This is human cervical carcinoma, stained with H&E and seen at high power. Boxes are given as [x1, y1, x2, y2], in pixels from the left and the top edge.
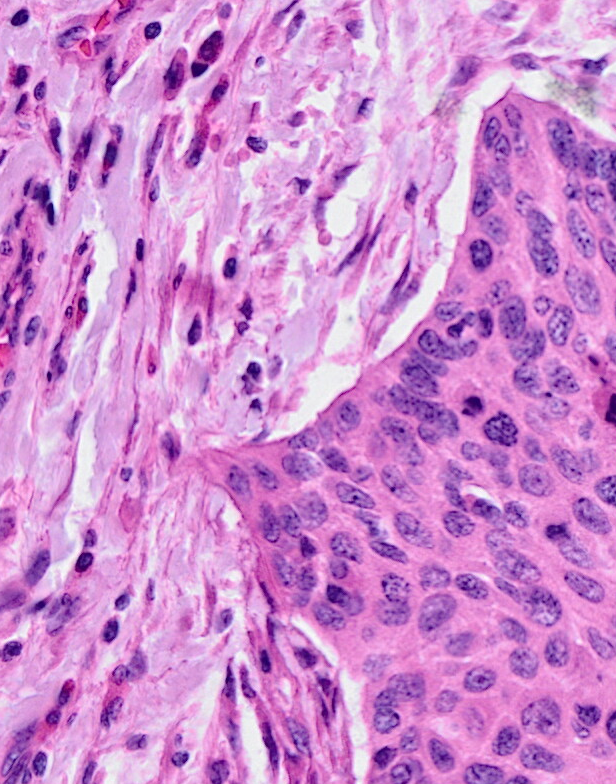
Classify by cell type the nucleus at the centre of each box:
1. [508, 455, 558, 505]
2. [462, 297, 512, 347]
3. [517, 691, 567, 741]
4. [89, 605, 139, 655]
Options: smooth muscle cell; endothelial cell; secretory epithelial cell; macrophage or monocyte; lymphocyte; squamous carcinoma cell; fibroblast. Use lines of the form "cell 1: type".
cell 1: squamous carcinoma cell
cell 2: squamous carcinoma cell
cell 3: squamous carcinoma cell
cell 4: lymphocyte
